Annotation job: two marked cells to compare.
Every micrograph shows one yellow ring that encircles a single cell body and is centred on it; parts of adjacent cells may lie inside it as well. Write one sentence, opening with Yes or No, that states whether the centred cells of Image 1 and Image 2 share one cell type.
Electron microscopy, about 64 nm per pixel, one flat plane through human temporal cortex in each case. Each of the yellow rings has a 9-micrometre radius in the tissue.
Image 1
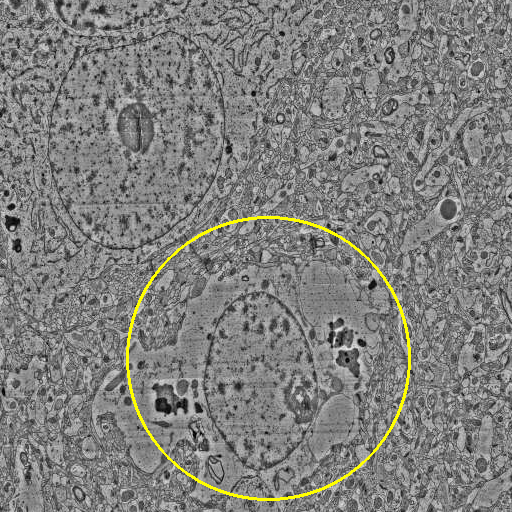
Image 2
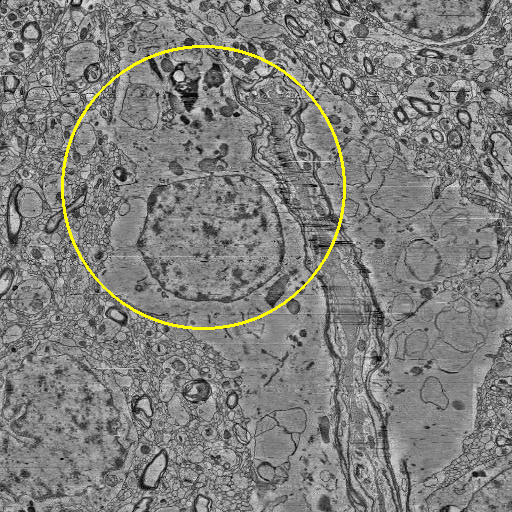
Yes, the cell centred in Image 1 shares its type with the cell centred in Image 2.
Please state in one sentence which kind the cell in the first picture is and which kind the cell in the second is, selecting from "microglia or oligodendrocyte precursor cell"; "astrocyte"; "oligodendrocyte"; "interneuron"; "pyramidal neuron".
Both the first and the second picture show an astrocyte in the ring.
